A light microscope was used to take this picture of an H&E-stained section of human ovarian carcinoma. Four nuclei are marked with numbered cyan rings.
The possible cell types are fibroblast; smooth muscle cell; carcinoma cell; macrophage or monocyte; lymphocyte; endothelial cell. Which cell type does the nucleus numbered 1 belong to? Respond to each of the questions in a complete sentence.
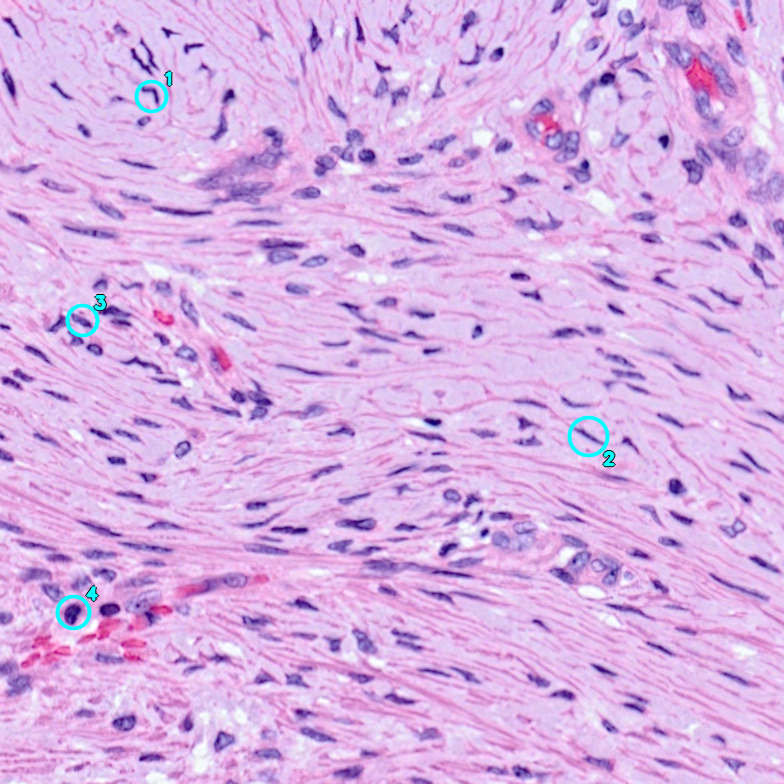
That cell with number 1 is a fibroblast.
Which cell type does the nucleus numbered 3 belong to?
The correct answer for cell 3 is a fibroblast.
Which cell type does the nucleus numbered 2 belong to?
The cell numbered 2 has been identified as a fibroblast.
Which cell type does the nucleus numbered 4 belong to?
The cell tagged with 4 in this tissue section is a lymphocyte.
